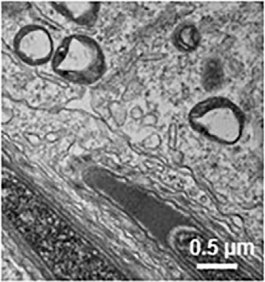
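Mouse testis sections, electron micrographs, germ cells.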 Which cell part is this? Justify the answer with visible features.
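Rounded organelles have a dark, dense band along their margins. Their interiors are largely pale and open. The answer: condensed.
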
